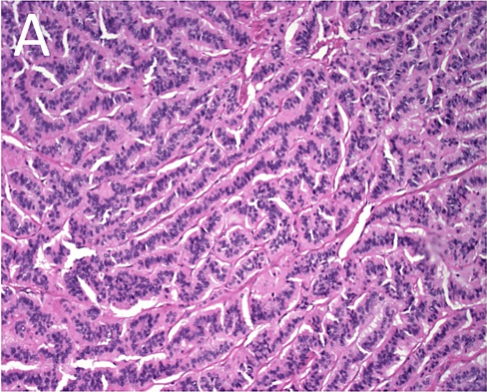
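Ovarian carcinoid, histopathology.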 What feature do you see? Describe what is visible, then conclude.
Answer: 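Tumor cells form narrow, elongated bands running roughly parallel. Slit-like clear spaces separate the bands. Little stroma lies between the bands.
Hence: thin ribbons and cords.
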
